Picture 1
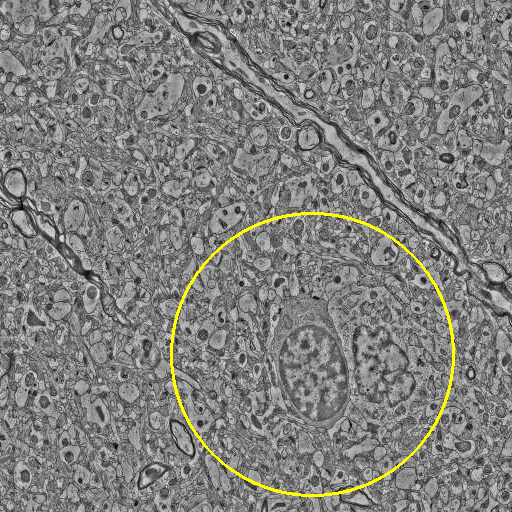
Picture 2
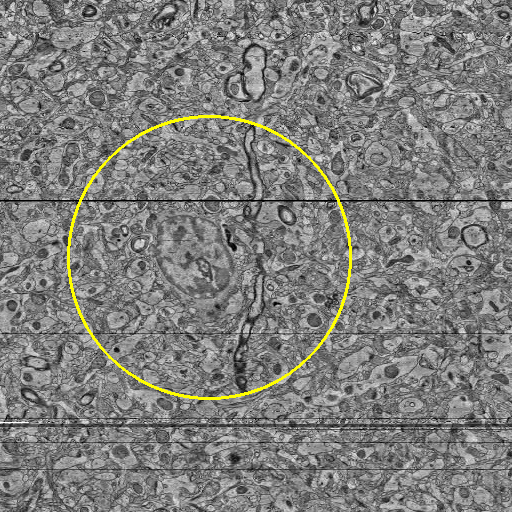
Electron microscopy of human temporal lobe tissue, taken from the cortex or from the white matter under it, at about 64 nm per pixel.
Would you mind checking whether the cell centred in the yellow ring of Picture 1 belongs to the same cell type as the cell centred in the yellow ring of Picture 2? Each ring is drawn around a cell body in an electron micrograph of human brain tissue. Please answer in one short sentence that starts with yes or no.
Yes, both cells are of the same type.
